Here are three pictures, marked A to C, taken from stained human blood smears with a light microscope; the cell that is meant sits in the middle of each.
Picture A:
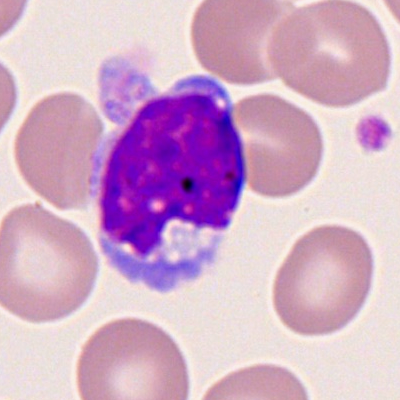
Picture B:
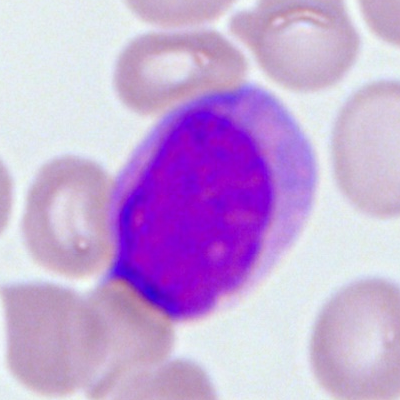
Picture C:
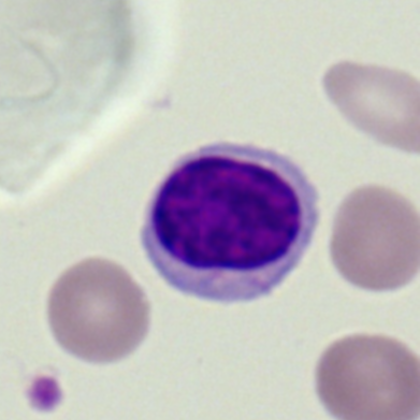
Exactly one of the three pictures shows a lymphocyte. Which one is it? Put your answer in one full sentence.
The cell in picture C is the lymphocyte.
